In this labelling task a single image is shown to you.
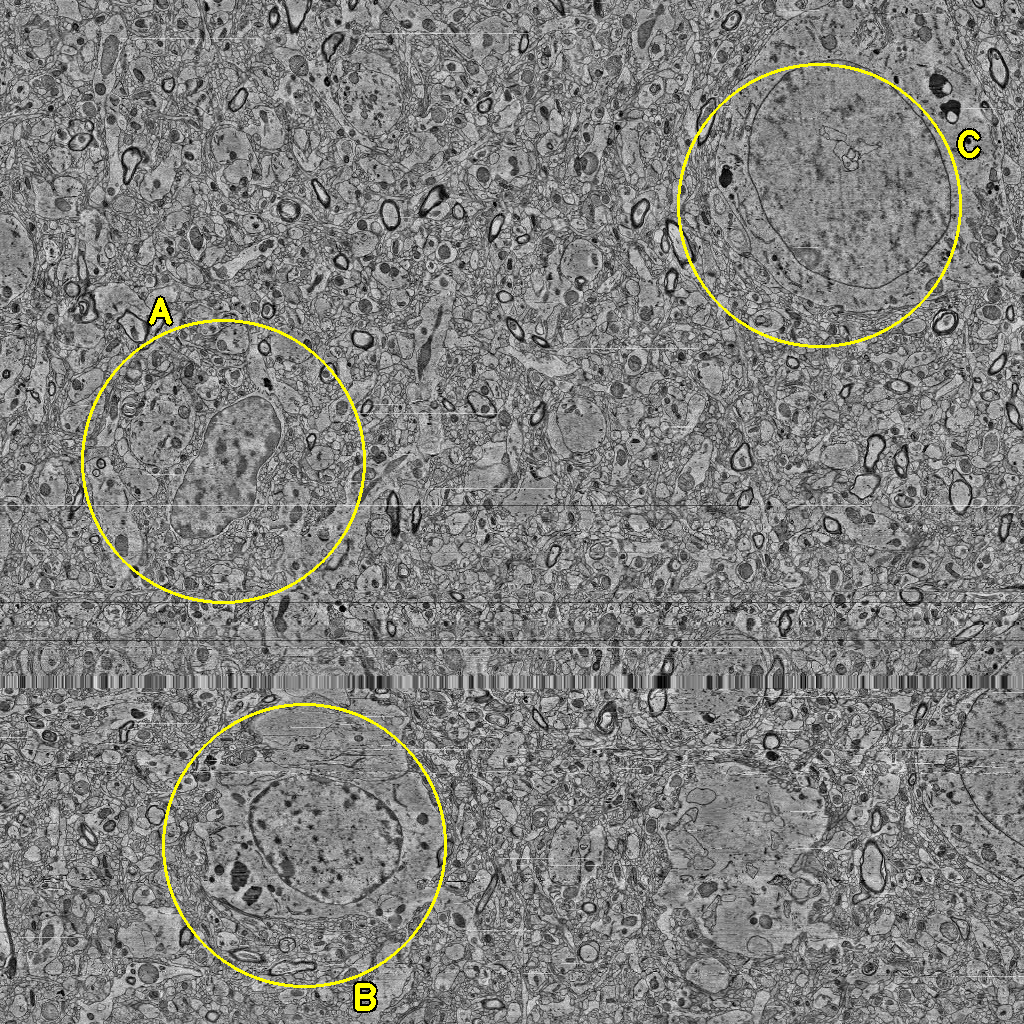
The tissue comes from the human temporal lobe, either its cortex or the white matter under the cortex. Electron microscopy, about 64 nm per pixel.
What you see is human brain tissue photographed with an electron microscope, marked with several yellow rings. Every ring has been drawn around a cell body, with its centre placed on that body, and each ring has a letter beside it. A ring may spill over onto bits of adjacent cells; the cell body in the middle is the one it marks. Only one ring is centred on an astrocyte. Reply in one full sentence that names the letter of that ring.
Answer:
The ring centred on the cell asked for is the one marked B.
